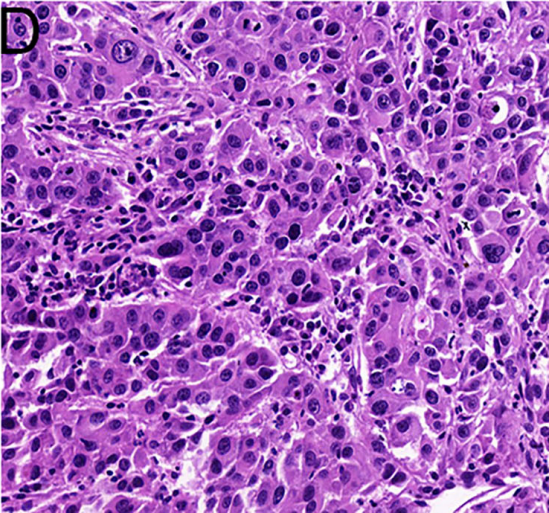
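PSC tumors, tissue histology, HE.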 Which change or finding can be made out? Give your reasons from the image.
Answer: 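Giant cell carcinoma. Large polygonal tumor cells with abundant pink cytoplasm. Large, irregular nuclei with prominent nucleoli. Cells lie in sheets without gland formation.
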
